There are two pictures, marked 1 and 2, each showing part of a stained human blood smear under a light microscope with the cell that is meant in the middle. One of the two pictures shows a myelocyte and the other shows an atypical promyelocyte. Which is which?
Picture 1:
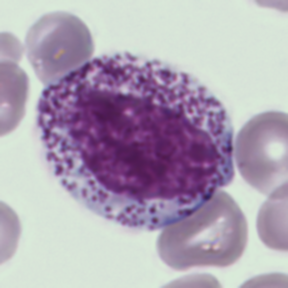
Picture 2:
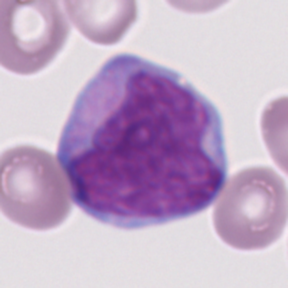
1: myelocyte
2: atypical promyelocyte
